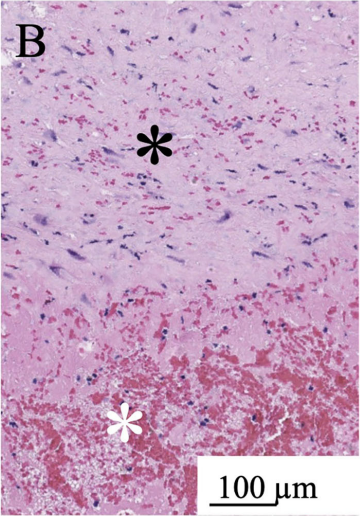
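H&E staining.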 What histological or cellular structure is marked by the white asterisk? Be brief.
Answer: Thrombus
